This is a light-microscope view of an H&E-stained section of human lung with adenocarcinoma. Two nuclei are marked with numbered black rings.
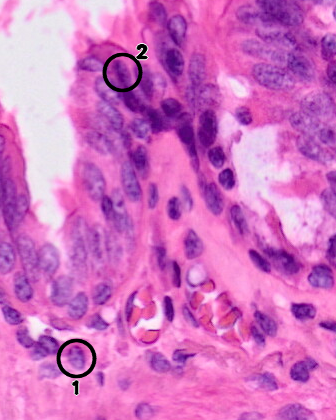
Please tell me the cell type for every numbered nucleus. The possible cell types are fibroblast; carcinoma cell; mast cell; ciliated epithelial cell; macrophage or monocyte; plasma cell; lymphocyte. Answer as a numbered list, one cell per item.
1. mast cell
2. ciliated epithelial cell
